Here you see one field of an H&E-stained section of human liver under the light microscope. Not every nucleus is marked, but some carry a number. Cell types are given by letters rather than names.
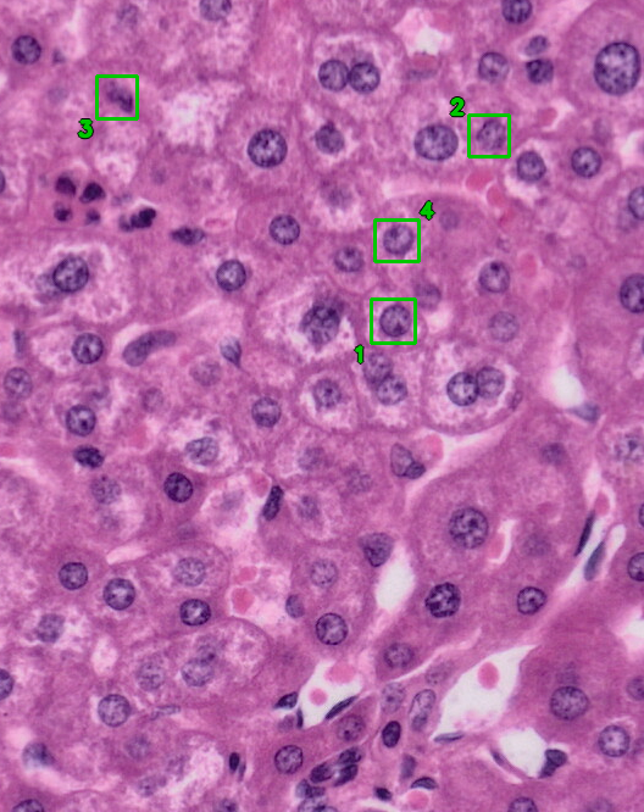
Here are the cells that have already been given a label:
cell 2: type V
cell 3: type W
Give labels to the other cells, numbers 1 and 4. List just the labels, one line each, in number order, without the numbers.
type V
type V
